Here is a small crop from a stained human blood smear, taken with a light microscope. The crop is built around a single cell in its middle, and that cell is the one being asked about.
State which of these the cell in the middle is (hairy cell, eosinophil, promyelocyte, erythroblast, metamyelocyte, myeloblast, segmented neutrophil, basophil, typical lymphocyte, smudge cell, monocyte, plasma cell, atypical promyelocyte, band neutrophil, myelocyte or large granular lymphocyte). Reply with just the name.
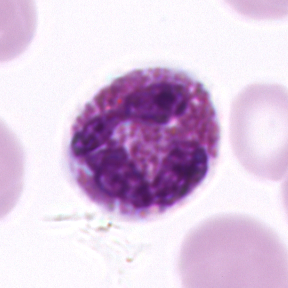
eosinophil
